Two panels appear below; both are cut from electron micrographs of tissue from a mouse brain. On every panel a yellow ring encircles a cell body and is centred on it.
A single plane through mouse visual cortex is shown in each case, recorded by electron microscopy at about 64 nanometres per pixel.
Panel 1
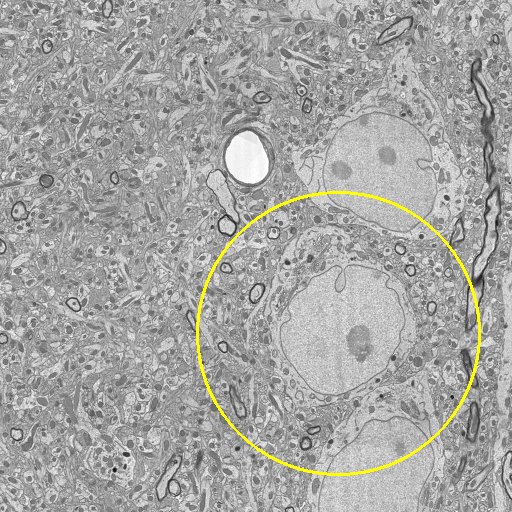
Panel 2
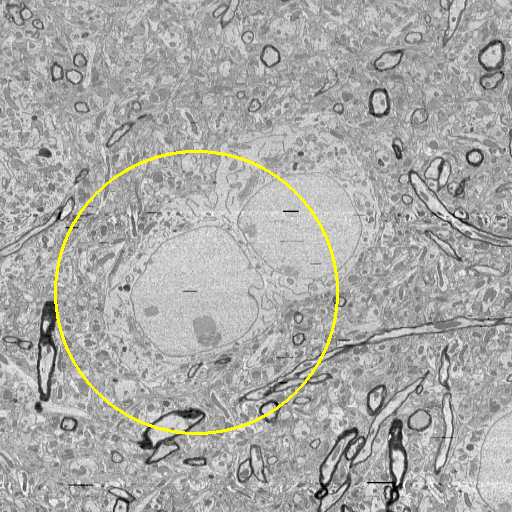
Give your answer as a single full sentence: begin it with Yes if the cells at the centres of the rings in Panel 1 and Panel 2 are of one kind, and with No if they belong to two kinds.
Yes, the cells in the middle of the rings in Panels 1 and 2 are of one kind.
